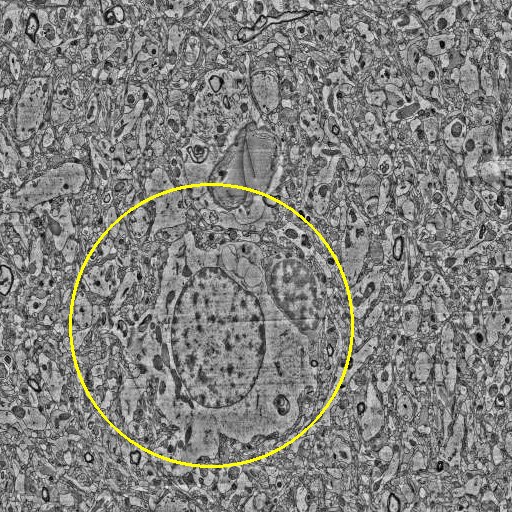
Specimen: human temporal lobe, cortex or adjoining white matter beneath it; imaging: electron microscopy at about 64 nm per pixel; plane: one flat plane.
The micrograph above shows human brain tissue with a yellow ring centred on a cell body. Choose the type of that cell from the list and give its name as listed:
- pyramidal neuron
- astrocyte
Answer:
astrocyte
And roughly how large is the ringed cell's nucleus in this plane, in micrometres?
Approximately 9 by 6 micrometers in this plane.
